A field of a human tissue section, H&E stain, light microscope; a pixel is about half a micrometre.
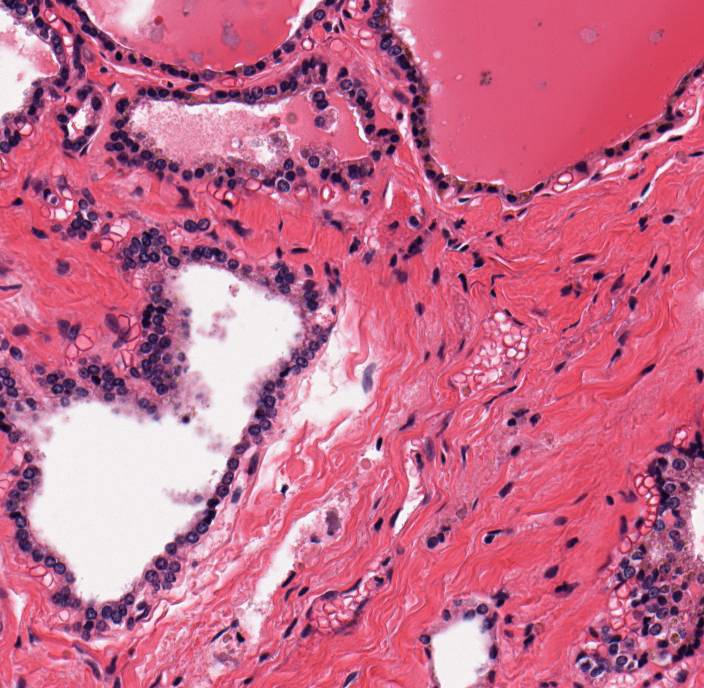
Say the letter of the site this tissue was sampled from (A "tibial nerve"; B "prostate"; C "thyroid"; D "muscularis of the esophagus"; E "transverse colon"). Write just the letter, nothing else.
C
